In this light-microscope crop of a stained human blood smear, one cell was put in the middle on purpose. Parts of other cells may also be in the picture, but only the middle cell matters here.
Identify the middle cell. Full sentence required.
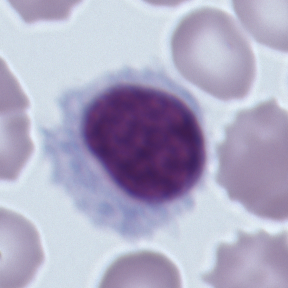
Located at the centre of the crop is a hairy cell.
